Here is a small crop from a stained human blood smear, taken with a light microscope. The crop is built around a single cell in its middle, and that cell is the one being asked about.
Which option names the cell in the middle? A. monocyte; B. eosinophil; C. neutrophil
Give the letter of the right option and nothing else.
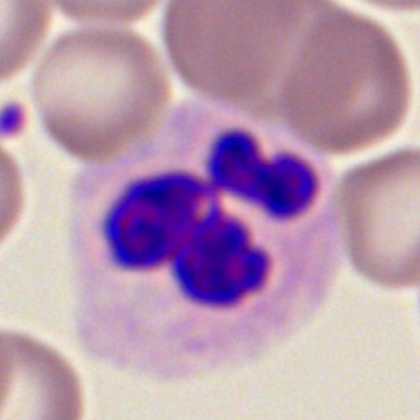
C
